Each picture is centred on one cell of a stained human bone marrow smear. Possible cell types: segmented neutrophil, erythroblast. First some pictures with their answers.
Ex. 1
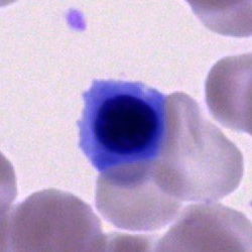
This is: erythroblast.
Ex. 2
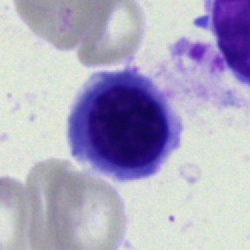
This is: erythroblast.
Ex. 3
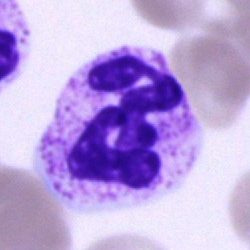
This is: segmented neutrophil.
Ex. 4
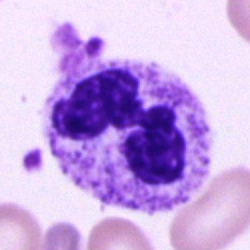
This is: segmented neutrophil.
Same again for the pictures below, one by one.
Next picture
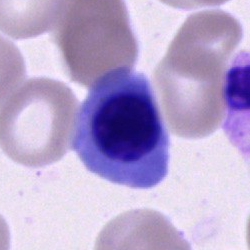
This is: erythroblast.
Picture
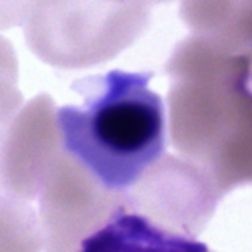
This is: erythroblast.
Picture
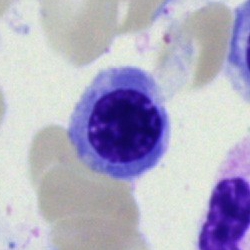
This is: erythroblast.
